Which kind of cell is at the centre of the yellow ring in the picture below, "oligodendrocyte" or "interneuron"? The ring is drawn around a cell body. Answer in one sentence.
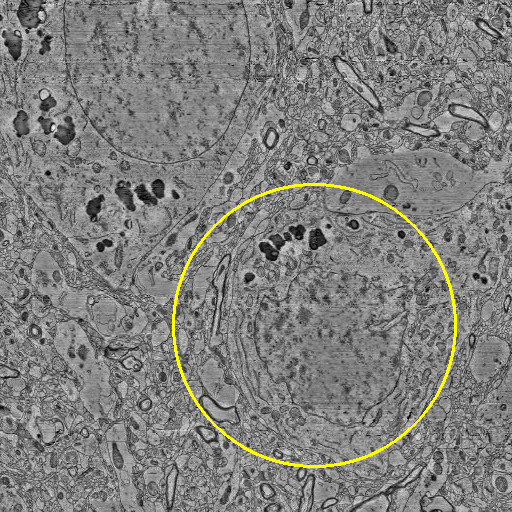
The ring's central cell is an interneuron.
